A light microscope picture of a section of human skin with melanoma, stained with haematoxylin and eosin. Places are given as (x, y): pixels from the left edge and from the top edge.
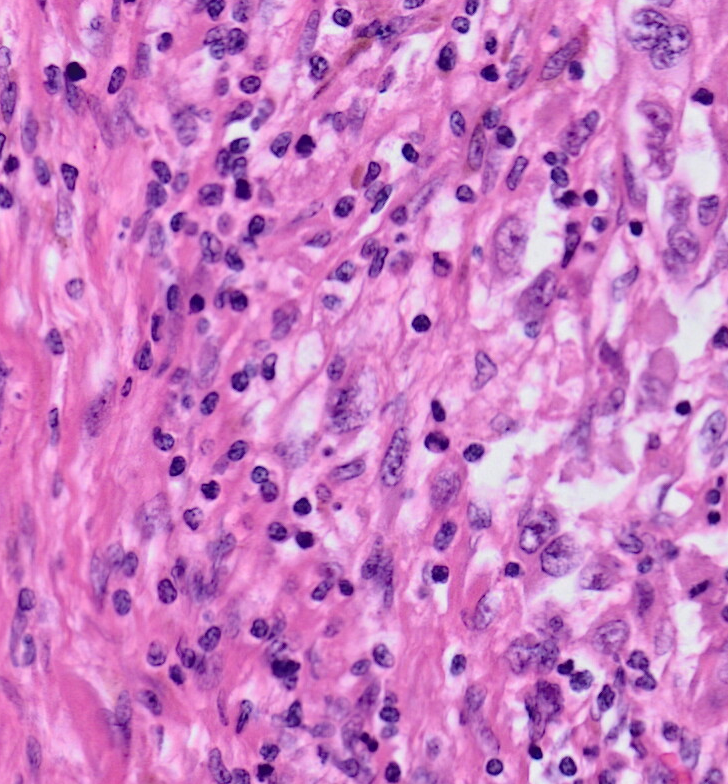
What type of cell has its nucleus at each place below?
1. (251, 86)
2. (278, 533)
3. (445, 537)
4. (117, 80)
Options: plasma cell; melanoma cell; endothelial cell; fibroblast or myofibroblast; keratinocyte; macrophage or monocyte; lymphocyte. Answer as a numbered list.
1. lymphocyte
2. plasma cell
3. lymphocyte
4. lymphocyte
